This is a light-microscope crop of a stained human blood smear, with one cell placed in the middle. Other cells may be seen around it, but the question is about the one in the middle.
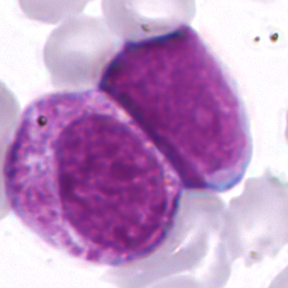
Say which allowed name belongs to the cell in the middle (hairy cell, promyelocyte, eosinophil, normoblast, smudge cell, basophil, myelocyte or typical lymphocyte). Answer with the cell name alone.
myelocyte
